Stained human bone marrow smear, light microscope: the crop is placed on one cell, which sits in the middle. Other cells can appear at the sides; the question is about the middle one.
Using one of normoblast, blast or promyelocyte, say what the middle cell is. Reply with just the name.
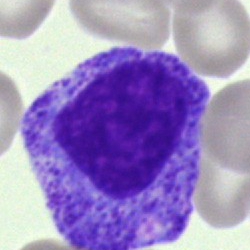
promyelocyte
